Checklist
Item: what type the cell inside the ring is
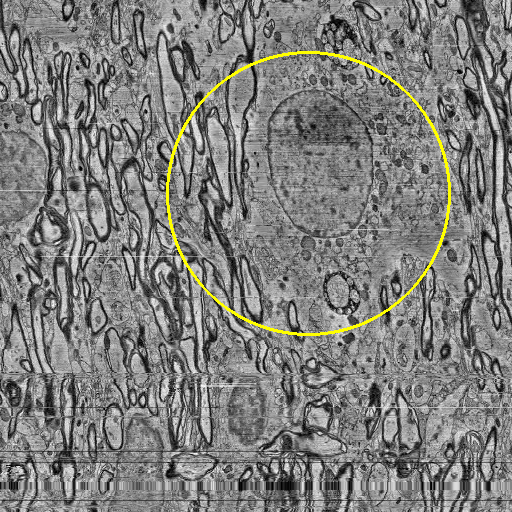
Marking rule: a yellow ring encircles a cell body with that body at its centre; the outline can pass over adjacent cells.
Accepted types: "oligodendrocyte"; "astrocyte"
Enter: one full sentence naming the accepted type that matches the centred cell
The entry is that an astrocyte lies at the centre of the yellow ring.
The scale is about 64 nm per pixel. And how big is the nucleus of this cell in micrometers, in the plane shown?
In this plane the nucleus is about 10 micrometres by 7.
